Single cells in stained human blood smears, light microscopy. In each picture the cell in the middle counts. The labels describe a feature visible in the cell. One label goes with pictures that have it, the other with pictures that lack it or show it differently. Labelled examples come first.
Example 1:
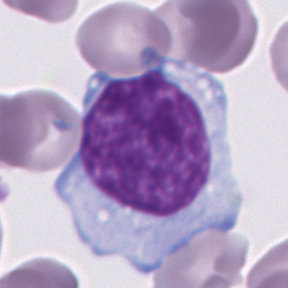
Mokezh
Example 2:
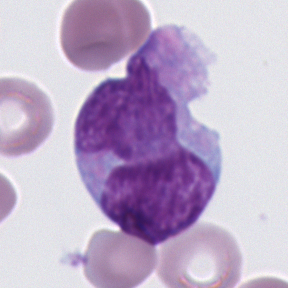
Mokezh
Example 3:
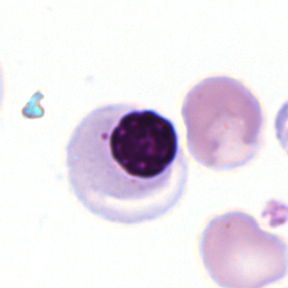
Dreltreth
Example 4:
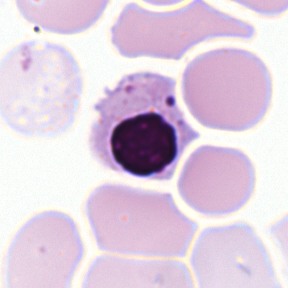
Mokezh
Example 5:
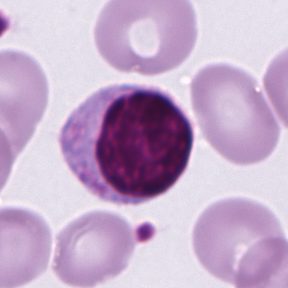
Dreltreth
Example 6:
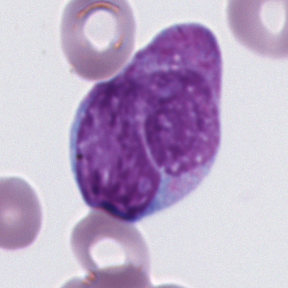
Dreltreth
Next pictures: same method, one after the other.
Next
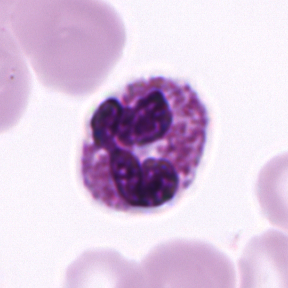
Dreltreth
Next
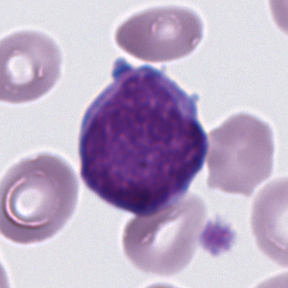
Mokezh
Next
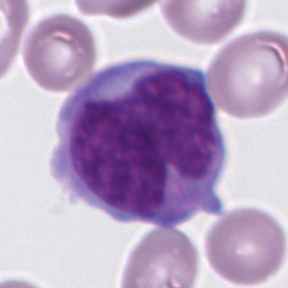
Mokezh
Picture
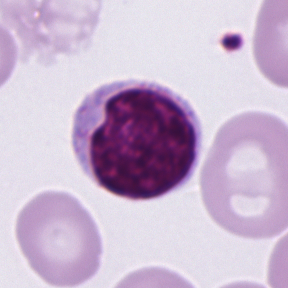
Dreltreth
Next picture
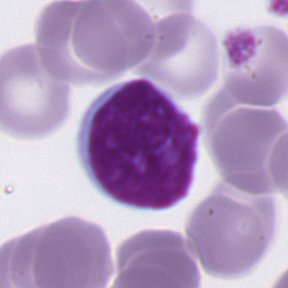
Dreltreth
